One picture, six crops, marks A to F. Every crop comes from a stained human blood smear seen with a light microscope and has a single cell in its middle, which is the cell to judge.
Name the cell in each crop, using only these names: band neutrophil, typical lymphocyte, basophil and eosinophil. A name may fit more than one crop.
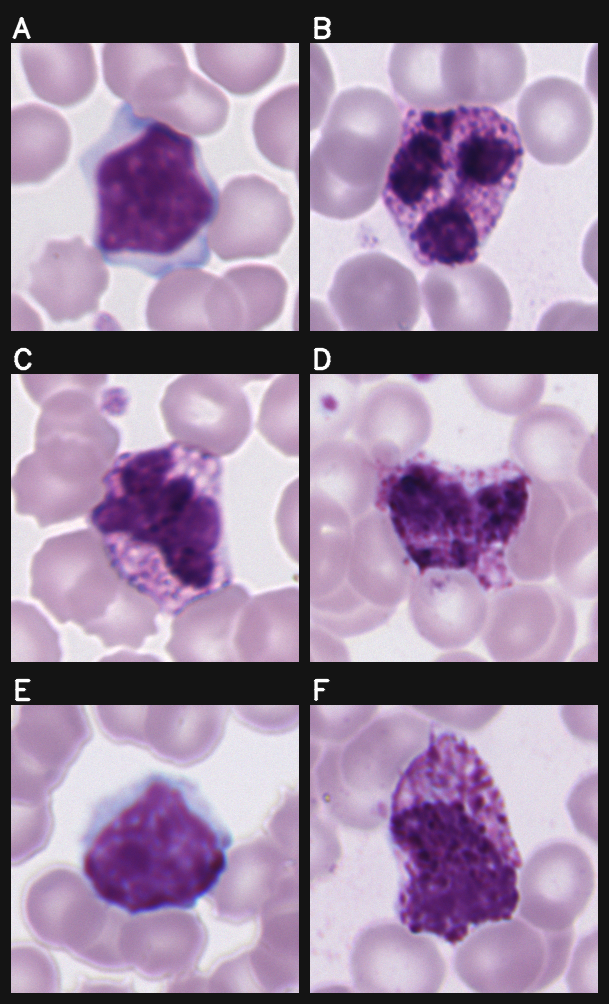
A: typical lymphocyte
B: basophil
C: basophil
D: basophil
E: typical lymphocyte
F: basophil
